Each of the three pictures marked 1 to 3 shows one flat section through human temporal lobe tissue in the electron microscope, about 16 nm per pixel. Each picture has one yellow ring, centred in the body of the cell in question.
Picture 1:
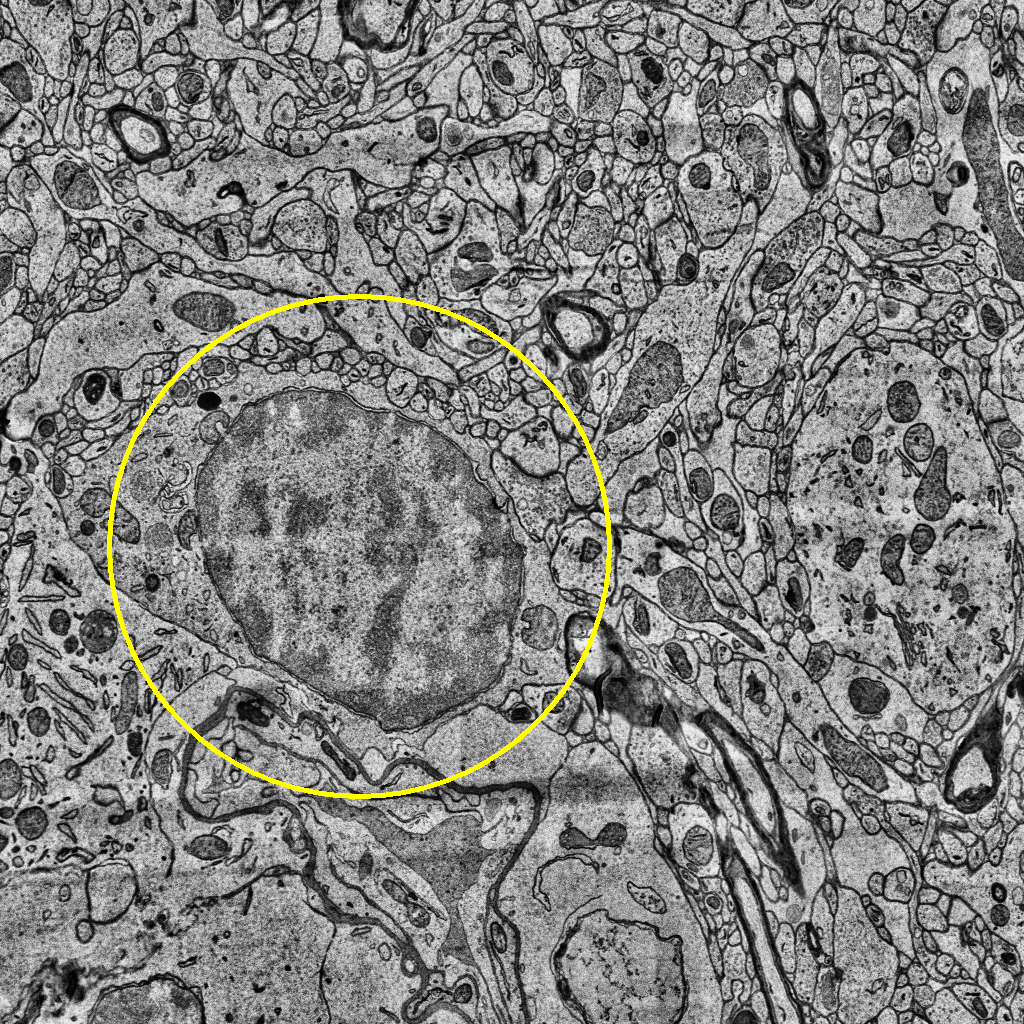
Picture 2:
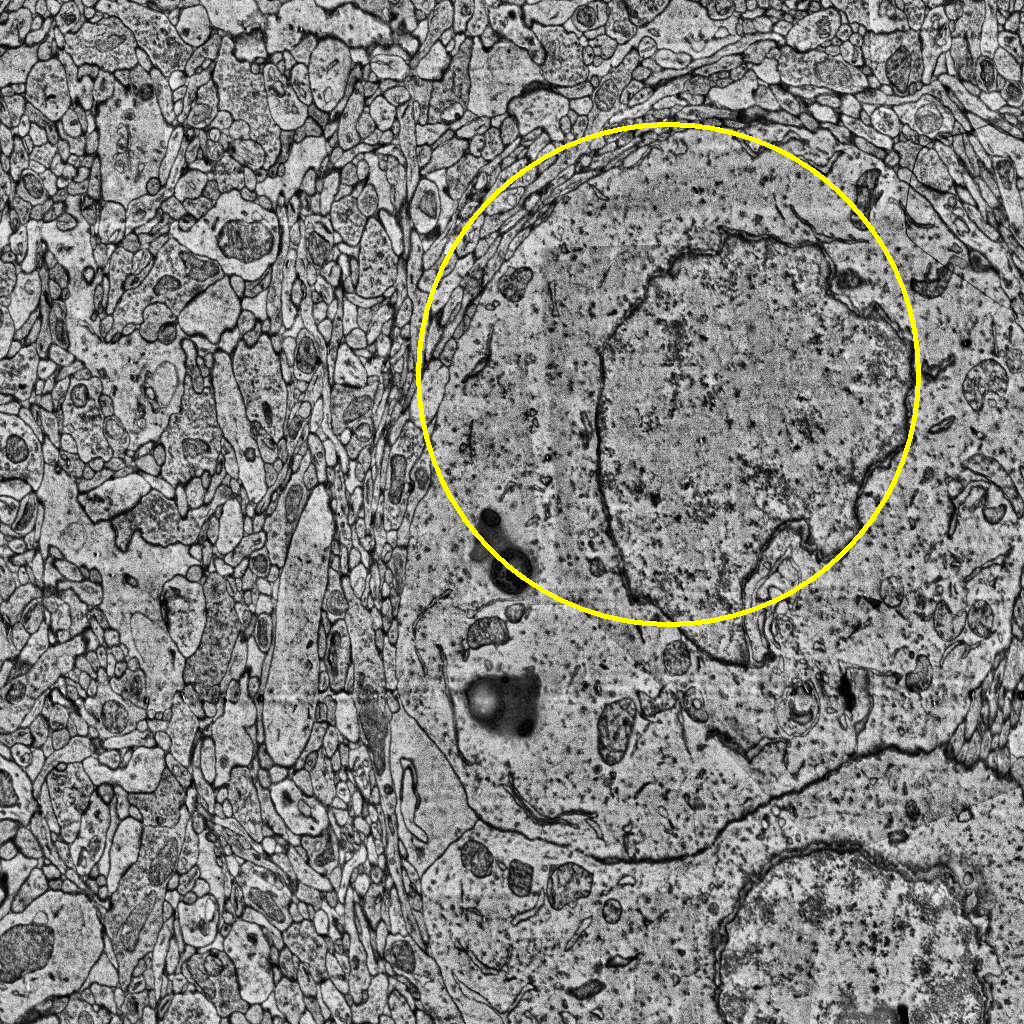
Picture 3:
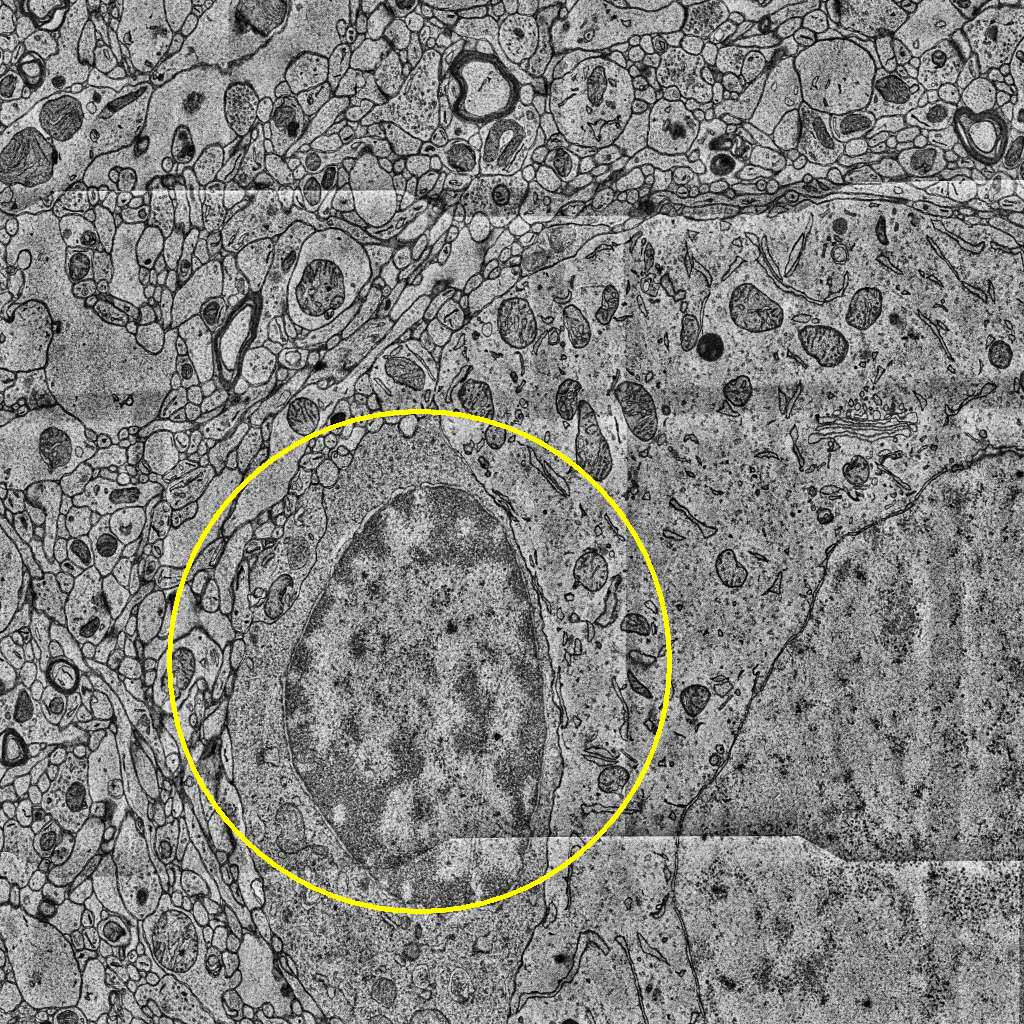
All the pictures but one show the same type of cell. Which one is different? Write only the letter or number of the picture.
2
